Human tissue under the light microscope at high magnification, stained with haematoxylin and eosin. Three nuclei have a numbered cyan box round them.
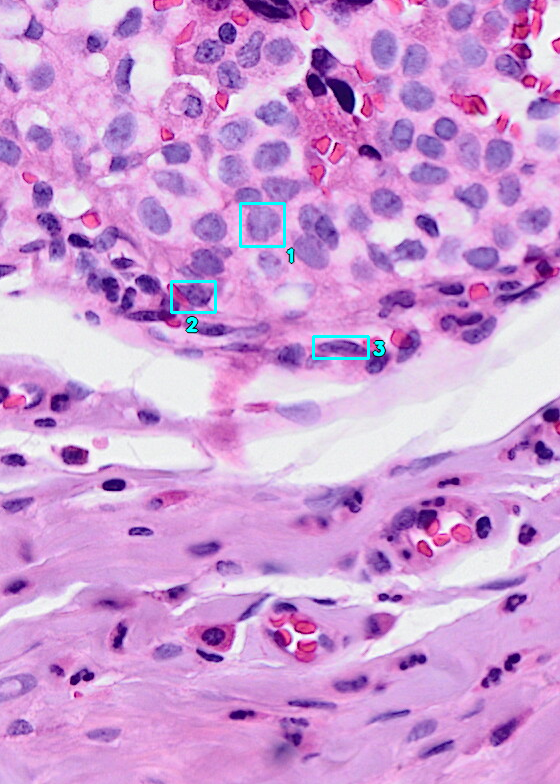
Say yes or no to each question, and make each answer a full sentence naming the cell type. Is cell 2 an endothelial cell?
Yes, and to answer plainly, cell 2 is an endothelial cell.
